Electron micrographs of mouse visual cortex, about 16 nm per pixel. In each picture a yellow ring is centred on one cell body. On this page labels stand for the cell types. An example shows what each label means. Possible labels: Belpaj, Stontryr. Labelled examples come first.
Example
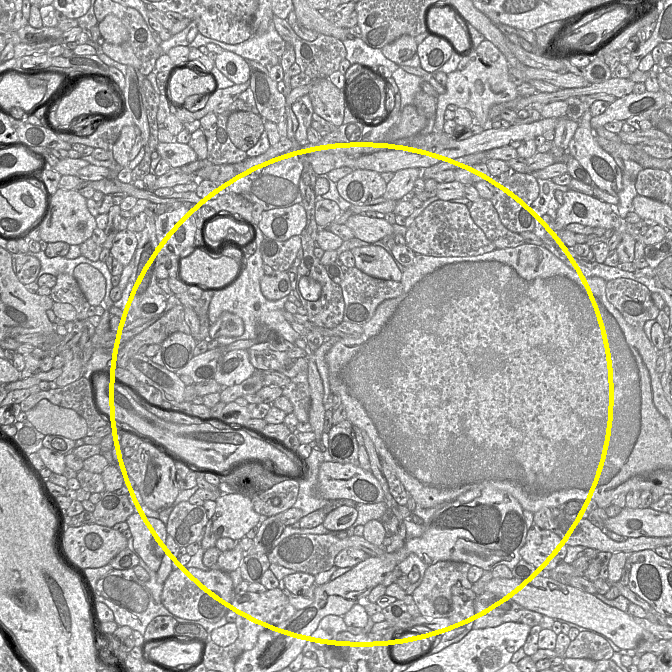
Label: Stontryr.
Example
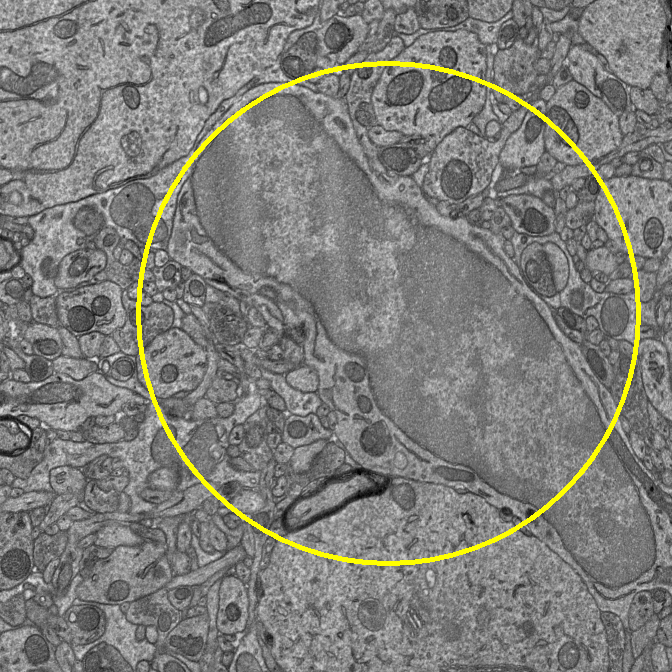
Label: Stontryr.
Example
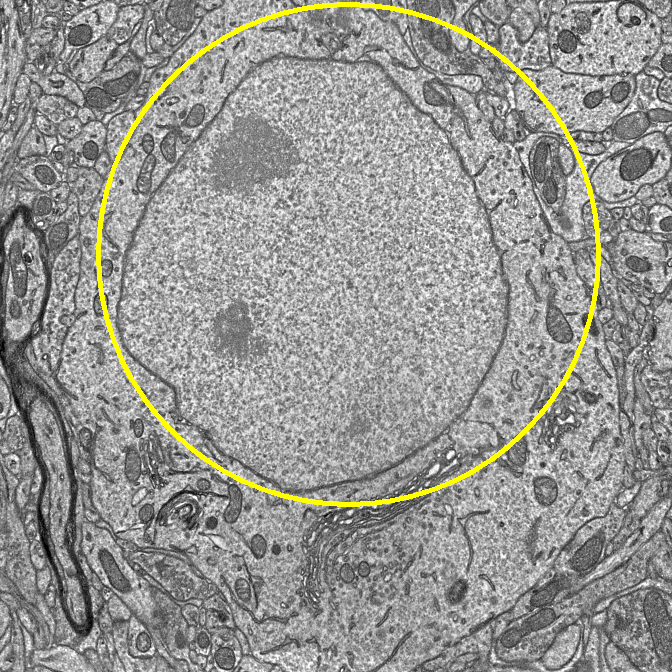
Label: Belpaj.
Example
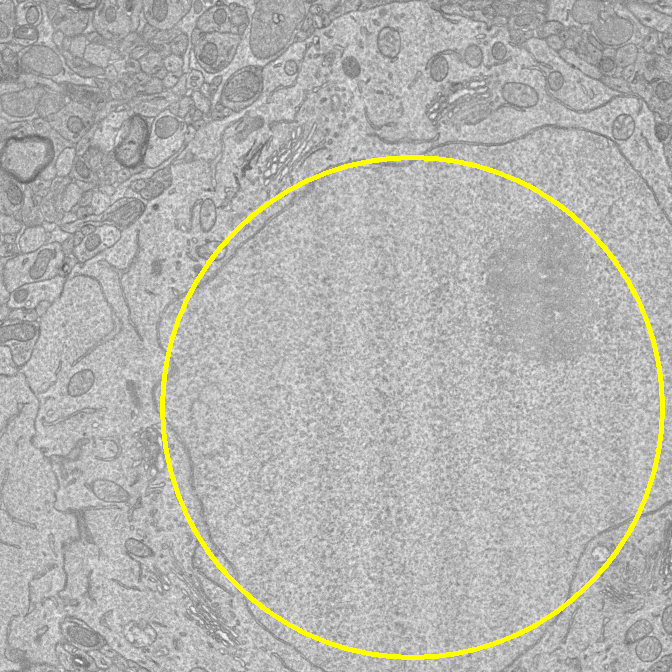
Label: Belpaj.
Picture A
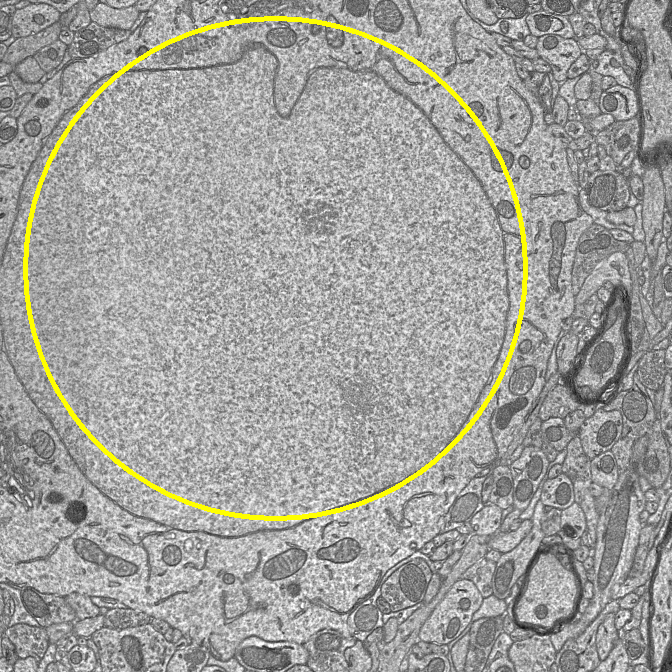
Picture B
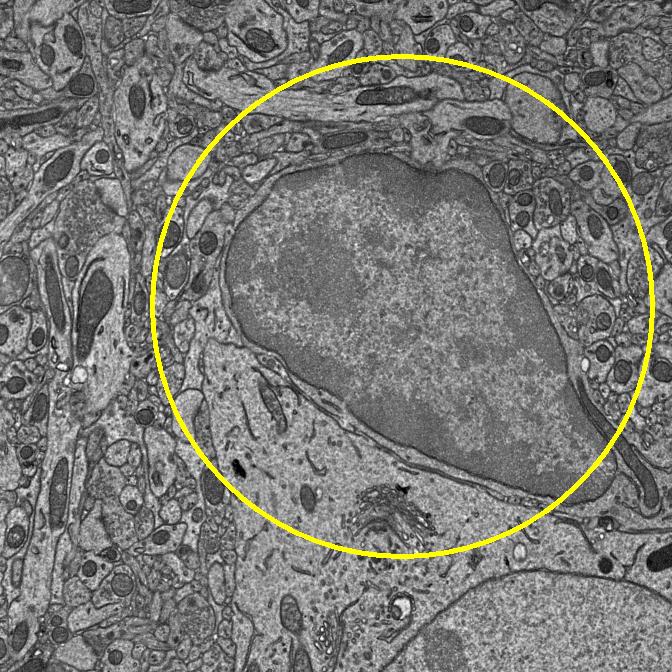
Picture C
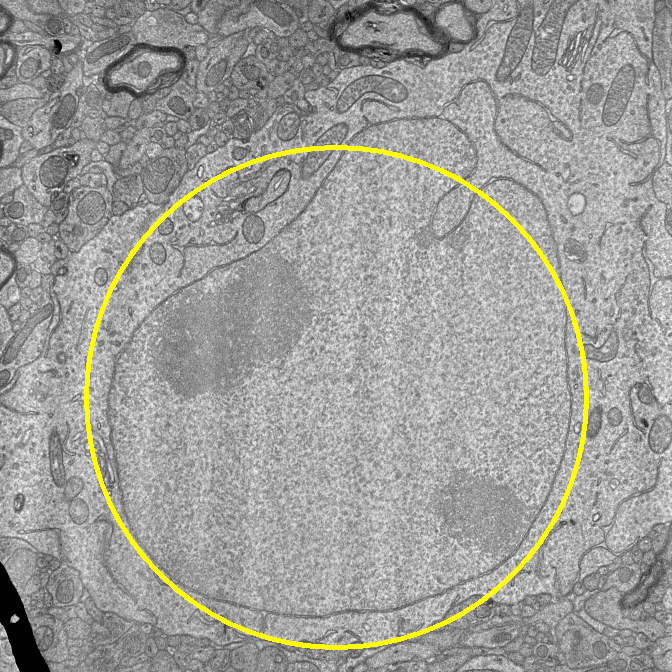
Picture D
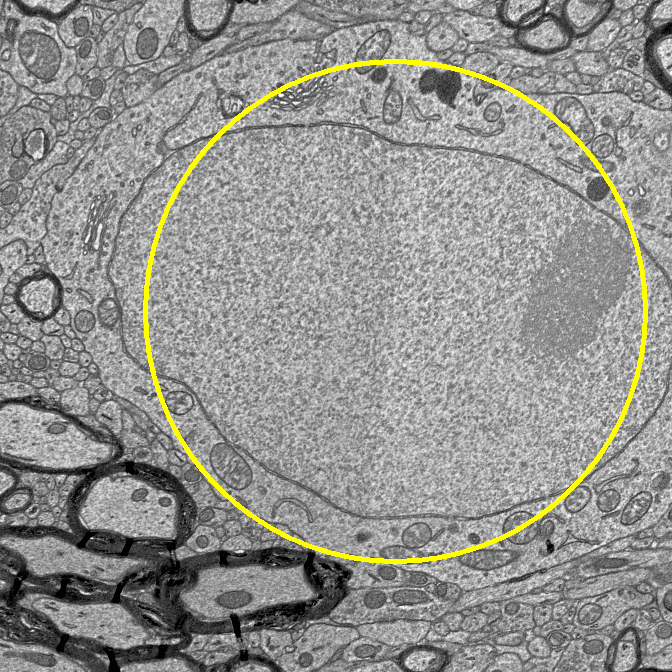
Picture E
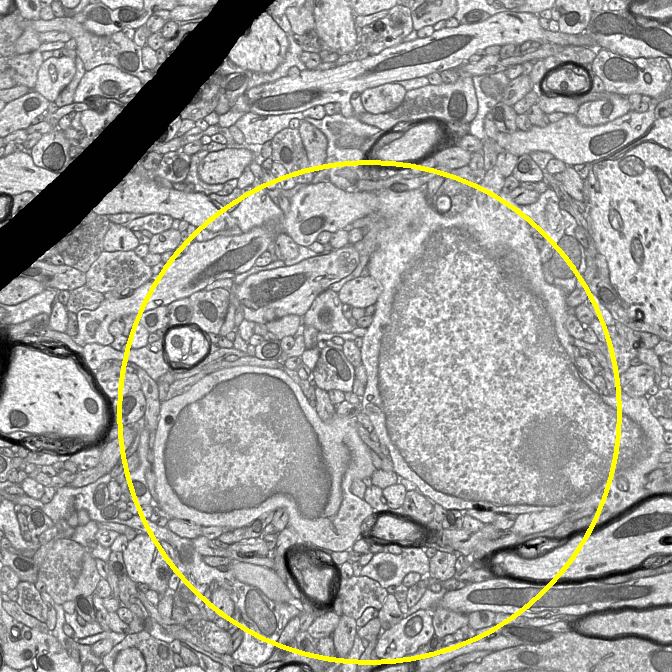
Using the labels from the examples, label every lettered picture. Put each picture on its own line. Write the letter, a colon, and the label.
A: Belpaj.
B: Stontryr.
C: Belpaj.
D: Belpaj.
E: Stontryr.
